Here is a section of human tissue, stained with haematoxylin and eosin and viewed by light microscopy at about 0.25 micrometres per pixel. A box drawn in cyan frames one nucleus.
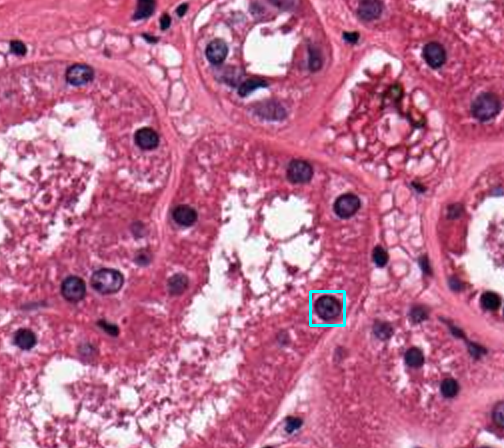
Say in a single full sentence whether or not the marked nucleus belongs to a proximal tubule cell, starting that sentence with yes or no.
Yes, the marked nucleus is to be assigned to a proximal tubule cell.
